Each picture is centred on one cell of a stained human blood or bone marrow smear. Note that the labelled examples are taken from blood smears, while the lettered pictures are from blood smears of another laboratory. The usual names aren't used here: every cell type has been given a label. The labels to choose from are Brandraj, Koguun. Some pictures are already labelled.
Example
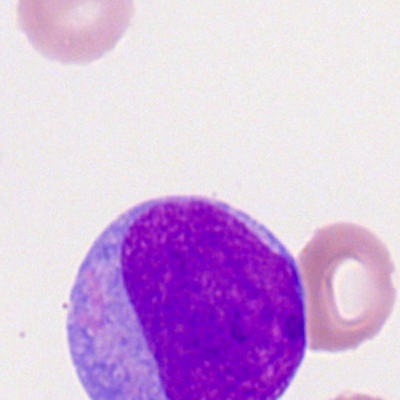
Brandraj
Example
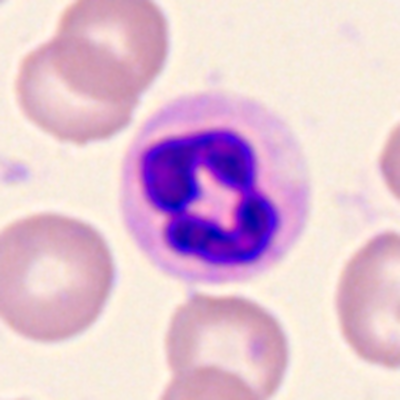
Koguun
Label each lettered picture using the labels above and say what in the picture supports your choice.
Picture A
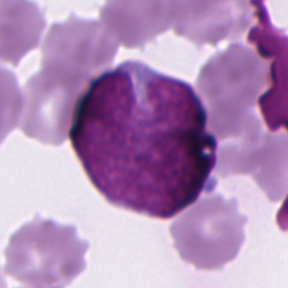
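Answer: Brandraj. The nucleus fills almost the whole cell.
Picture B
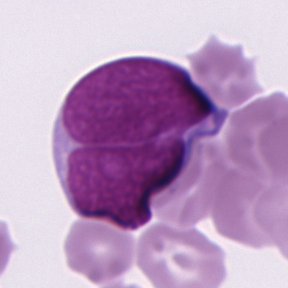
Answer: Brandraj. The cytoplasm is pale blue-grey and shows mainly as a thin crescent on the left side of the cell.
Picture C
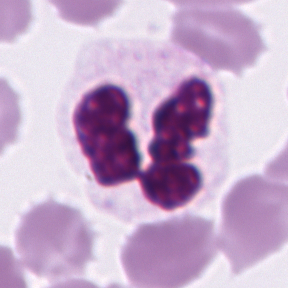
Answer: Koguun. The cytoplasm is abundant and pale pinkish-lilac.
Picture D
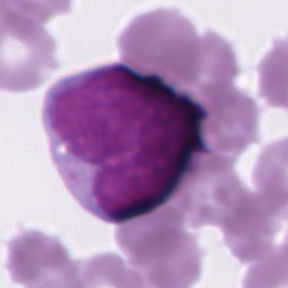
Answer: Brandraj. The nucleus fills most of the cell.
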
